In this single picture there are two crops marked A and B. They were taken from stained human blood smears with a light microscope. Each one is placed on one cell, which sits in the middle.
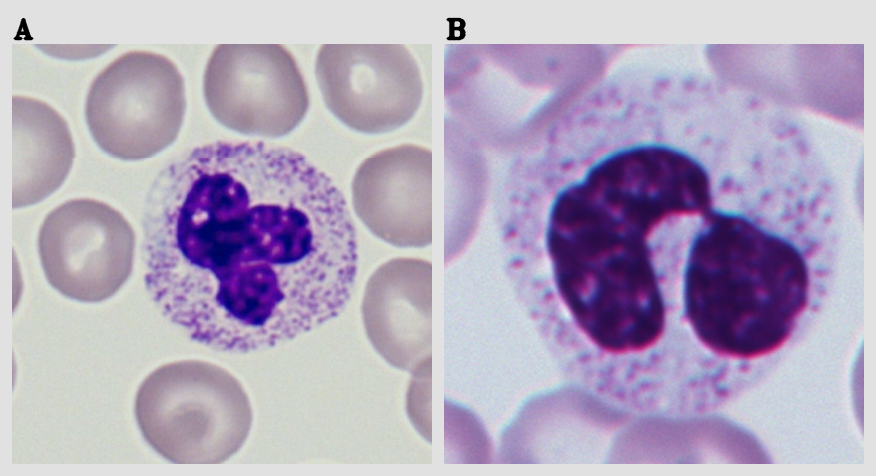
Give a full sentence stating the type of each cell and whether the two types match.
Yes, the two central cells, one per crop, are neutrophils.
